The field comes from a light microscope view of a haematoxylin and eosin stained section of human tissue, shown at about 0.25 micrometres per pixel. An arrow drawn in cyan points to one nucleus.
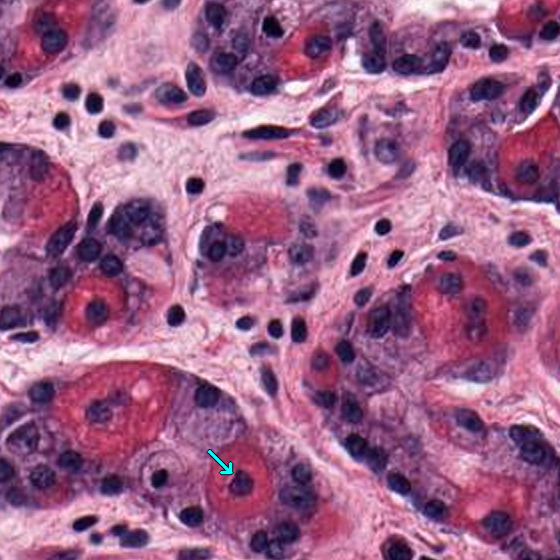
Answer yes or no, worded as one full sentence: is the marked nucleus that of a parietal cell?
Yes, the marked nucleus is contained in a parietal cell.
